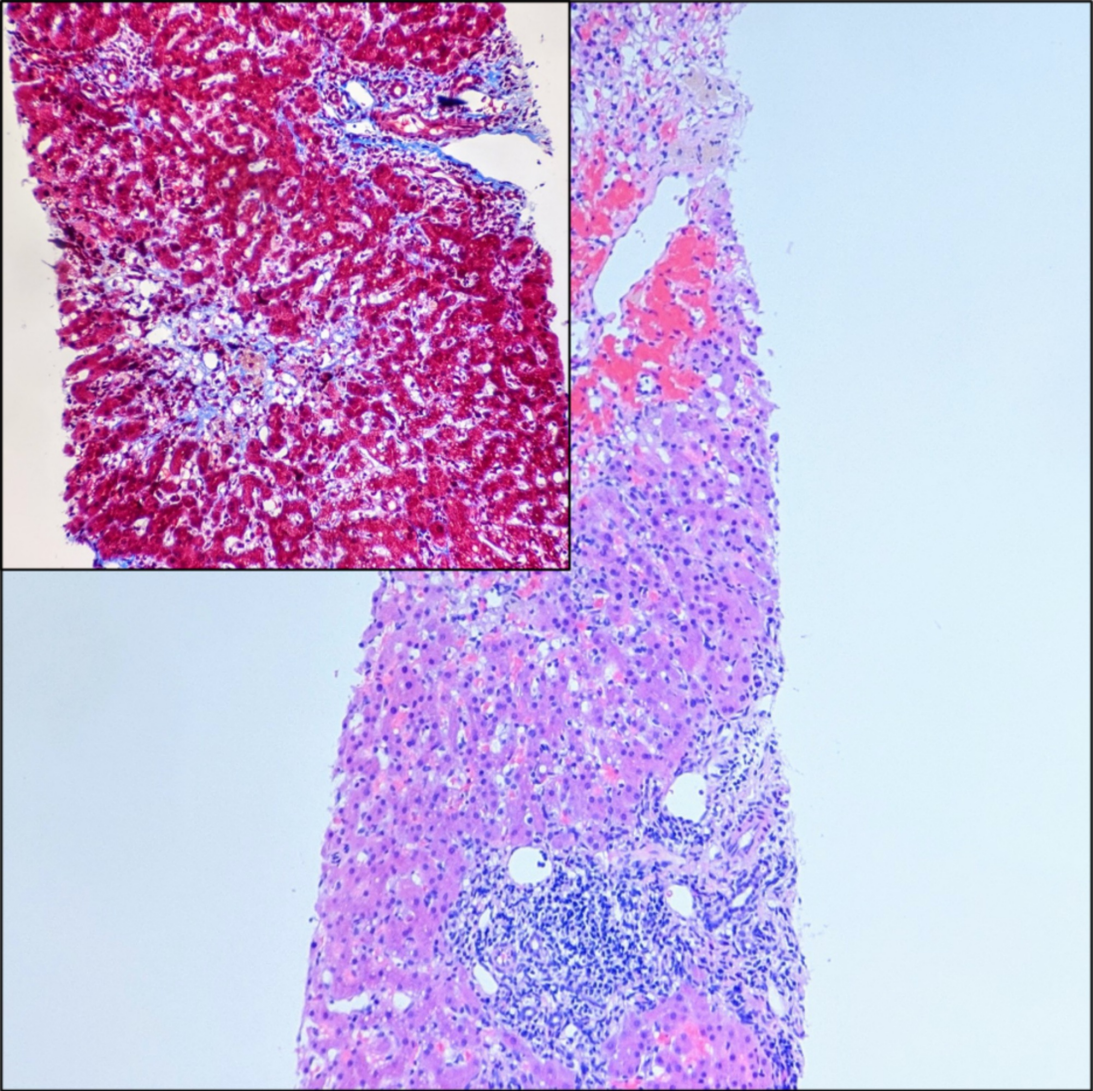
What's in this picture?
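A core of liver parenchyma with plates of polygonal hepatocytes with pink cytoplasm and round central nuclei. In the lower part a portal area with small ducts and vessels is densely infiltrated by small inflammatory cells with dark round nuclei, extending into the neighbouring lobule, while in the upper part hepatocytes are lost around a vessel and replaced by pools of red blood cells.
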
